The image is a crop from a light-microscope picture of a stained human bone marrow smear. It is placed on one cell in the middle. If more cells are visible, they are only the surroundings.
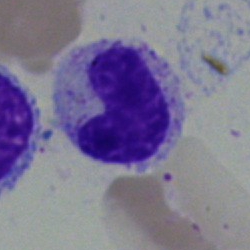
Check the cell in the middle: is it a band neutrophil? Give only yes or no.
yes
